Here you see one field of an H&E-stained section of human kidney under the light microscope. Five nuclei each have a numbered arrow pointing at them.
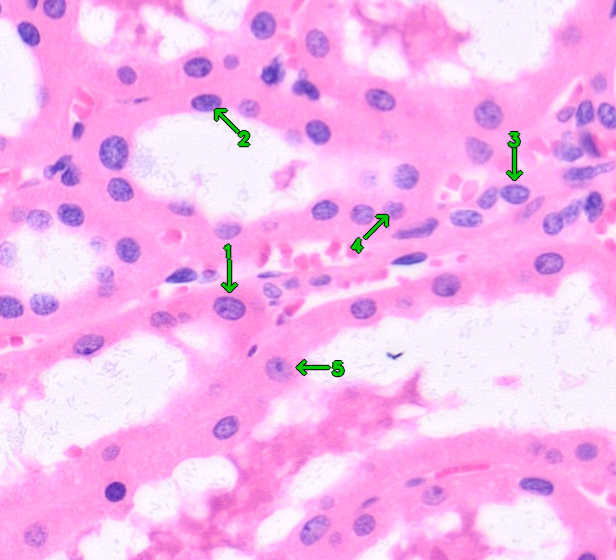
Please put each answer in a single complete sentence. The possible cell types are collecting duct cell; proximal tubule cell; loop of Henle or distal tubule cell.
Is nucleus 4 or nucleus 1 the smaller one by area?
With nucleus 1 about 2 times its size, nucleus 4 is the smaller of the two.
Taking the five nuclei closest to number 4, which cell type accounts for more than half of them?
Most of the five nuclei nearest to number 4 are those of loop of Henle or distal tubule cells.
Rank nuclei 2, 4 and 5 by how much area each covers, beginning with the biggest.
By area, largest first, they run 5, 2, 4.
